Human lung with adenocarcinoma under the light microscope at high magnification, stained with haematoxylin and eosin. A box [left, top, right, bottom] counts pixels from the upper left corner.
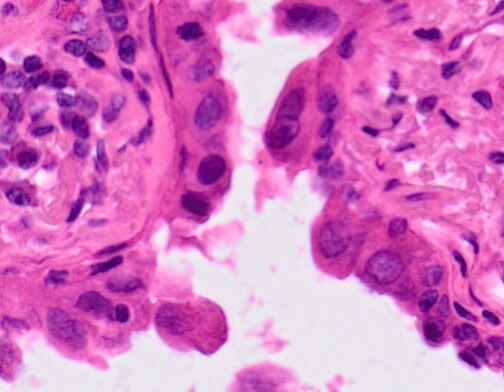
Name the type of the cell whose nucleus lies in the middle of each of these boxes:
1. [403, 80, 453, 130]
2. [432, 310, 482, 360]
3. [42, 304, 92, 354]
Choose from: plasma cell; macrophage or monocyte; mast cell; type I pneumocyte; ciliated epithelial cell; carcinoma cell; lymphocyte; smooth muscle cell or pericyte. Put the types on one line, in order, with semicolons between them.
plasma cell; ciliated epithelial cell; carcinoma cell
